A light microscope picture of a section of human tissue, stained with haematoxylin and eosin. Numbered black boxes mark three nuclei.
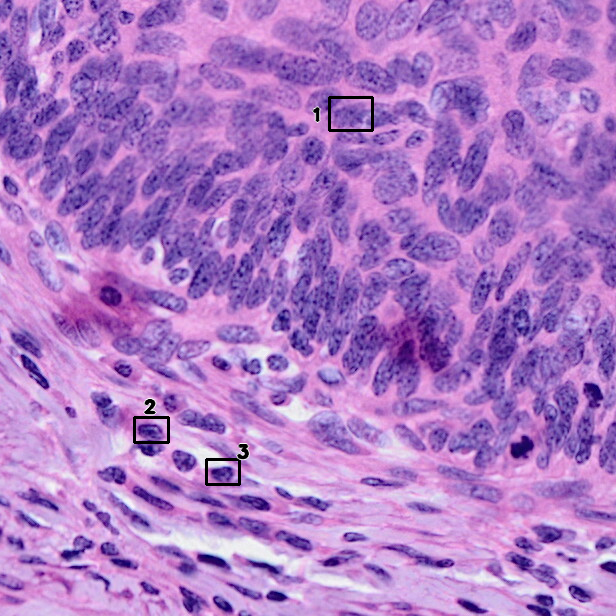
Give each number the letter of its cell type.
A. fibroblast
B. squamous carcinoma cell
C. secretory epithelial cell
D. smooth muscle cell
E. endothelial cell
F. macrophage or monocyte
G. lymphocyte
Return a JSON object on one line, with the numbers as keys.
{"1": "B", "2": "G", "3": "G"}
